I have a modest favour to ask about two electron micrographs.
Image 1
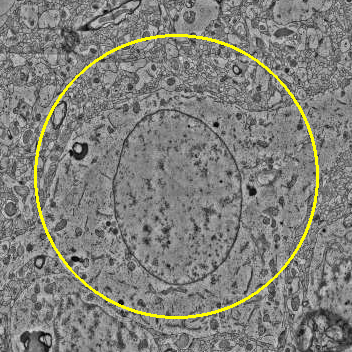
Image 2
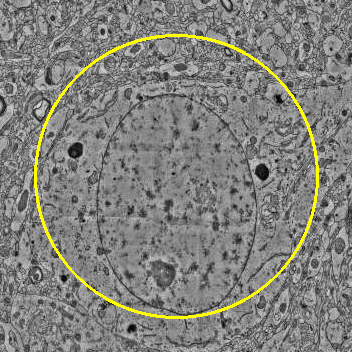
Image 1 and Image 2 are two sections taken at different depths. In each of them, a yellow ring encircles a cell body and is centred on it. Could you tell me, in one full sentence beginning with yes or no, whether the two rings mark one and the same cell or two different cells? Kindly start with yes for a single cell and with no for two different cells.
Yes, only one cell is involved, and both rings mark it.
